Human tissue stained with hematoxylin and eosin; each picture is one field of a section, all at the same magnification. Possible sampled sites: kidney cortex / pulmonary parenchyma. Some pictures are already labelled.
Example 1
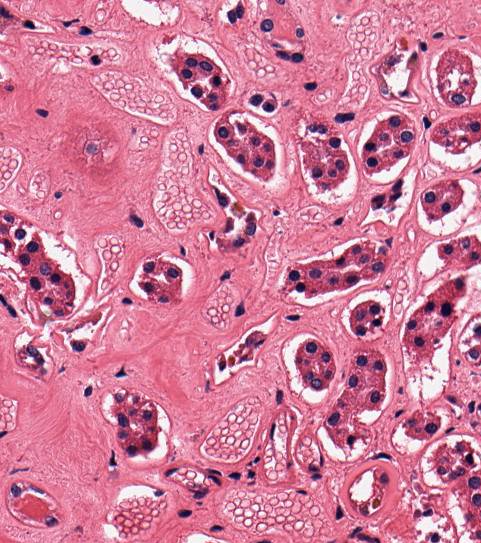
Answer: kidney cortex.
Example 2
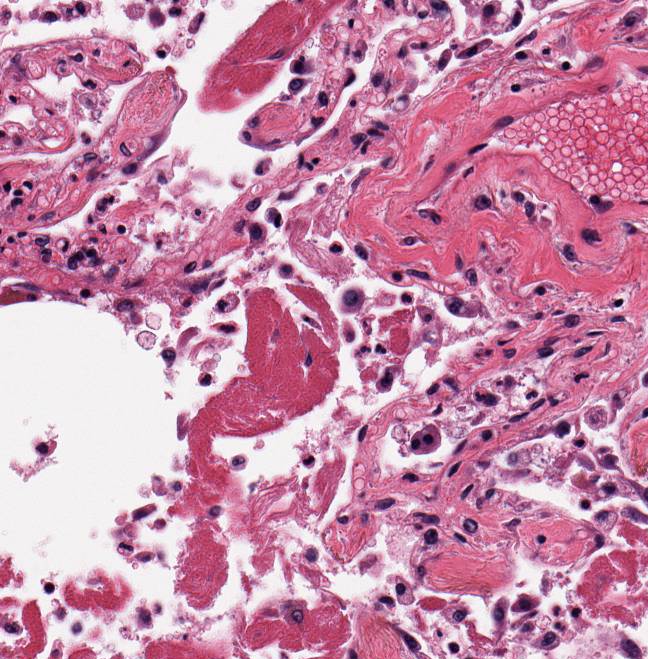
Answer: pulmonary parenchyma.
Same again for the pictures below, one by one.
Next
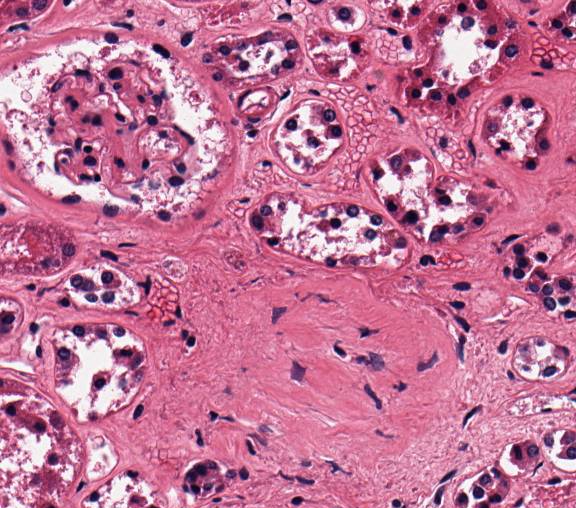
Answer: kidney cortex.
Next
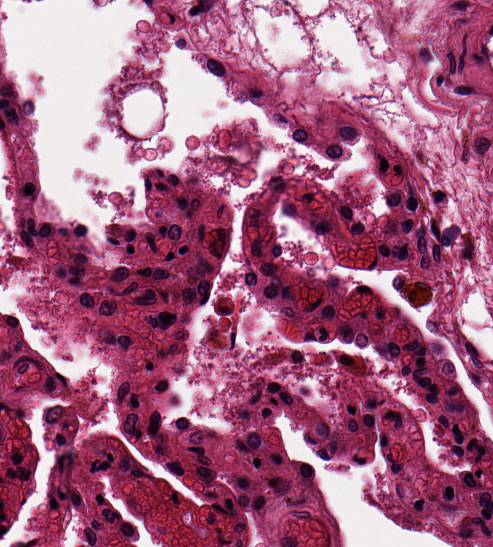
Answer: pulmonary parenchyma.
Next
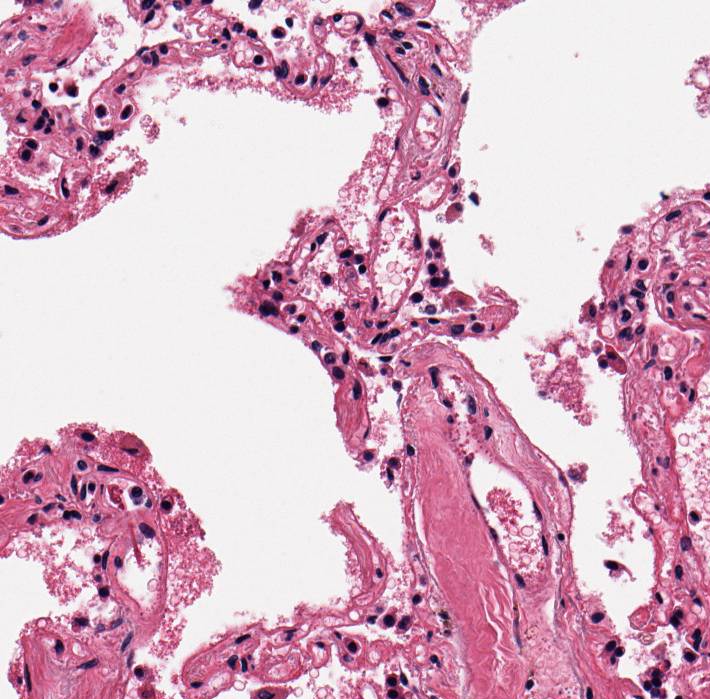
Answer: pulmonary parenchyma.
